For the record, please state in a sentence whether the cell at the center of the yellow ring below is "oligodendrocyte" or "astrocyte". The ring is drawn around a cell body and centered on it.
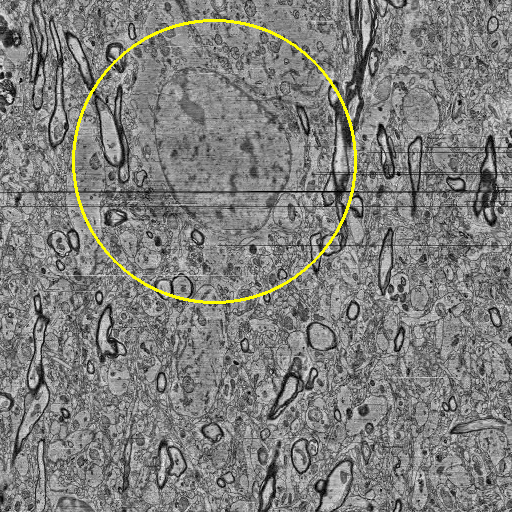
The cell at the ring's center is an astrocyte.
